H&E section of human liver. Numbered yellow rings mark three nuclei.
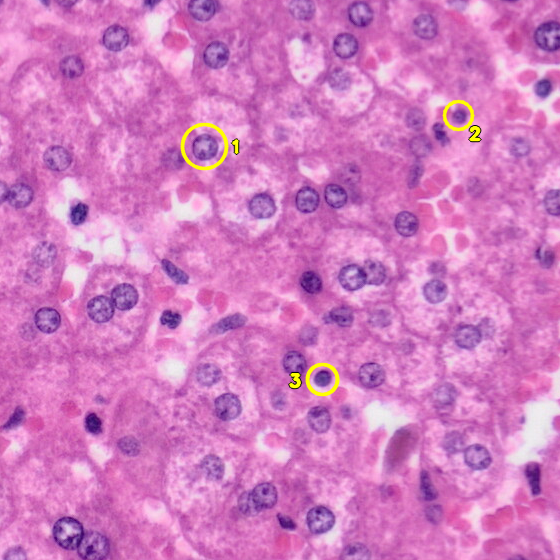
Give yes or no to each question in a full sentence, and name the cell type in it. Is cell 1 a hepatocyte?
Yes, the cell to which number 1 refers is a hepatocyte.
